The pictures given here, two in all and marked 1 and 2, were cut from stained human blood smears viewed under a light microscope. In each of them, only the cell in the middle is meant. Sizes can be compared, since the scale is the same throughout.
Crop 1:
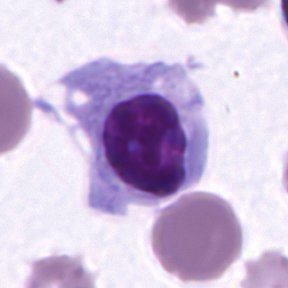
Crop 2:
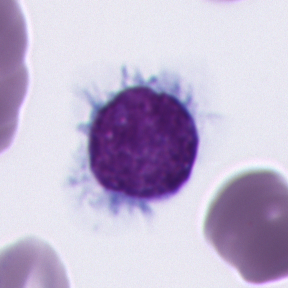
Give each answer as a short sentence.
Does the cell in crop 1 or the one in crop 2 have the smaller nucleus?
Crop 1 shows the smaller nucleus, since that in crop 2 covers about 1.5 times as much area.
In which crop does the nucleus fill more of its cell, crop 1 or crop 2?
It is the cell in crop 2 that is filled more by its nucleus.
